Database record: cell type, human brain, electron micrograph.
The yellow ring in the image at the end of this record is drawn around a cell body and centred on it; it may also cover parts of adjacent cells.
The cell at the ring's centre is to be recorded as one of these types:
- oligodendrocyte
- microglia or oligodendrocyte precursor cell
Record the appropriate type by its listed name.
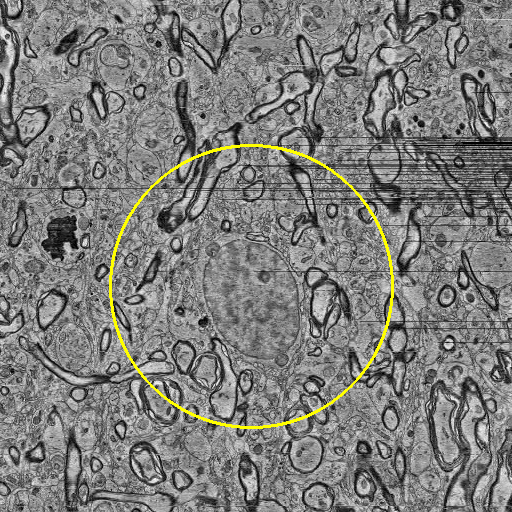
oligodendrocyte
